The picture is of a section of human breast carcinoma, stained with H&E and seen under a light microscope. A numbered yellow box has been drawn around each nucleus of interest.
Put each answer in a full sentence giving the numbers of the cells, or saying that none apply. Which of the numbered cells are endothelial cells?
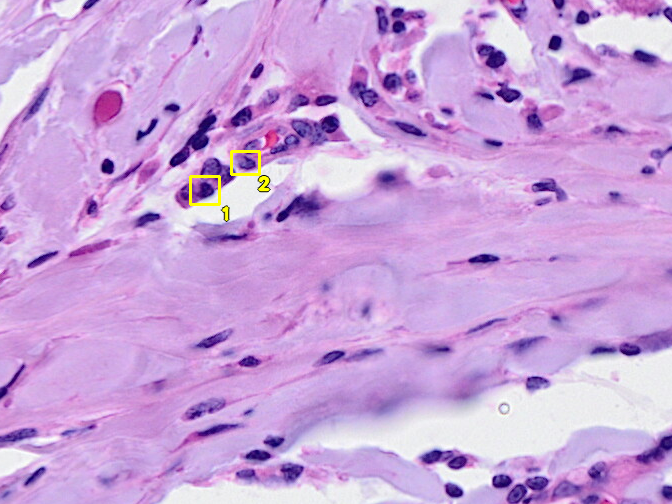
As for the numbered cells, only cell 2 is an endothelial cell.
